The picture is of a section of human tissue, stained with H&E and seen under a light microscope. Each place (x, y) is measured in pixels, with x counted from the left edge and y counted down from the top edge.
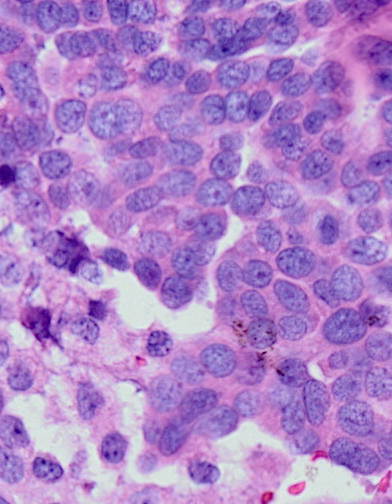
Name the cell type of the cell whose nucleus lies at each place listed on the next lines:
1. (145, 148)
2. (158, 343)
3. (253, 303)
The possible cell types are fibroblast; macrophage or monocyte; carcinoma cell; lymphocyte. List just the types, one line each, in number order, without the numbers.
carcinoma cell
macrophage or monocyte
carcinoma cell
